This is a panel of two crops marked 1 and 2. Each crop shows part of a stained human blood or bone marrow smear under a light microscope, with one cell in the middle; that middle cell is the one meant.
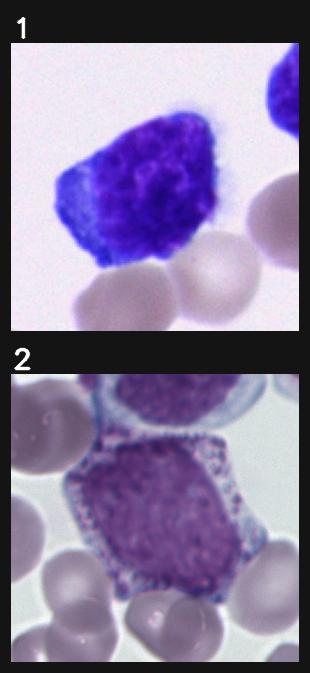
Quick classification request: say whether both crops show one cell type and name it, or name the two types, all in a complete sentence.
No, a blast is in crop 1, and a promyelocyte is in crop 2.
